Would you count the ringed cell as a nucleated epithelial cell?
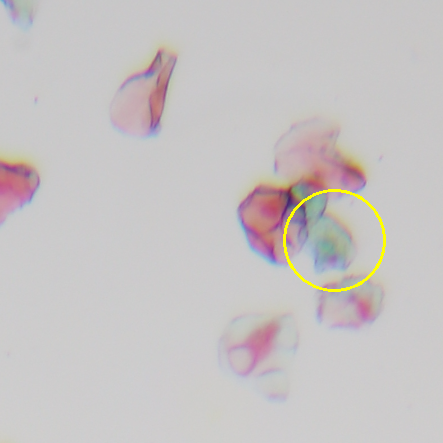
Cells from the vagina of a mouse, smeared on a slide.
No, I would count it as a cornified epithelial cell.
